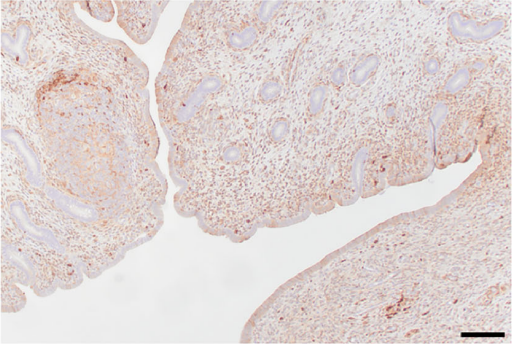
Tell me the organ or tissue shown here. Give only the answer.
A: Uterus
